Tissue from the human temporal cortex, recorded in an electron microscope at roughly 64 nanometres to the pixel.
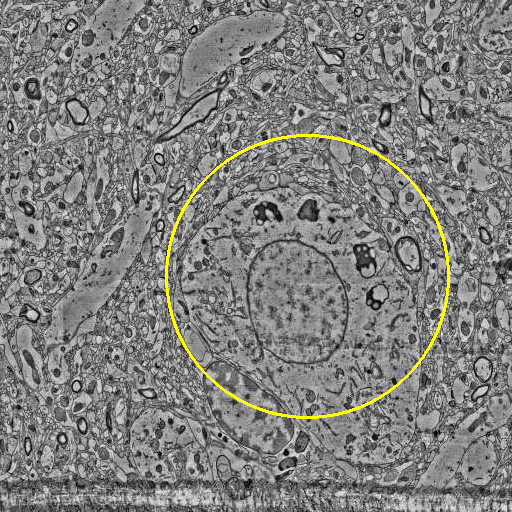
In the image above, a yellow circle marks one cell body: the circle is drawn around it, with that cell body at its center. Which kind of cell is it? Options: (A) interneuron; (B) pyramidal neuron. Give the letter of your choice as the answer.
B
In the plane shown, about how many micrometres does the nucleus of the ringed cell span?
In this plane the nucleus measures roughly 8 by 7 micrometers.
